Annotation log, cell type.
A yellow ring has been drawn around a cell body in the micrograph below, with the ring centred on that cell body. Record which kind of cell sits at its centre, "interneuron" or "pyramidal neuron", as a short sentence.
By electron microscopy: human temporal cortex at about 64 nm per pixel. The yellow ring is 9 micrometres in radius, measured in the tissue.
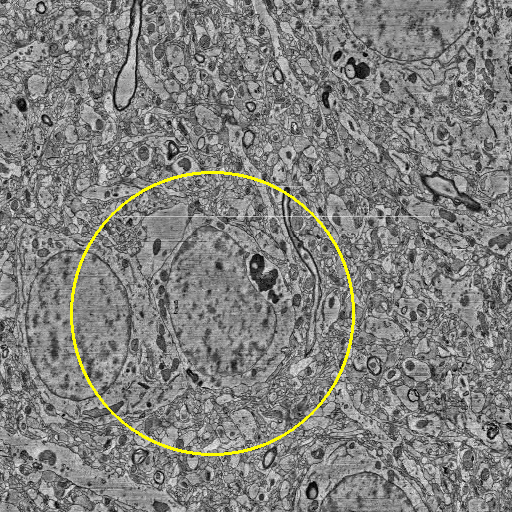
The cell at the centre of this ring is an interneuron.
